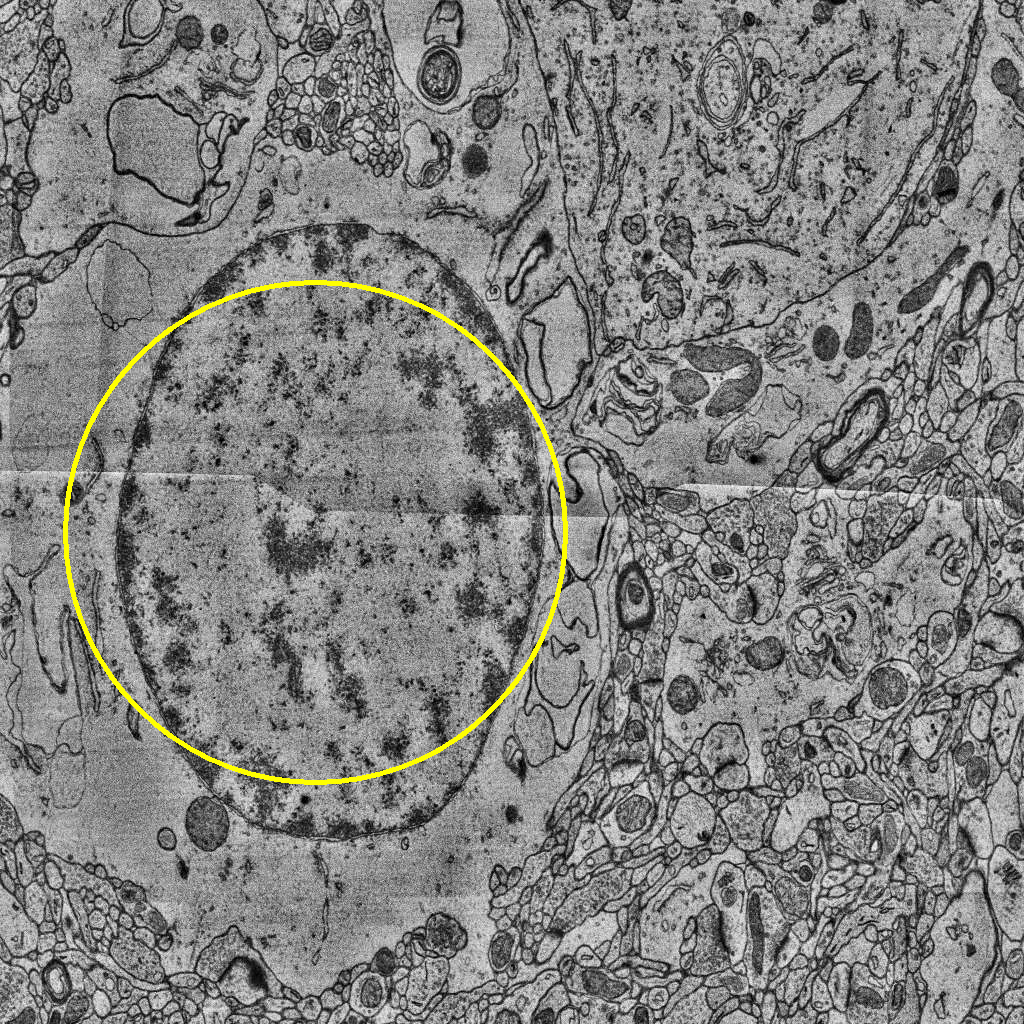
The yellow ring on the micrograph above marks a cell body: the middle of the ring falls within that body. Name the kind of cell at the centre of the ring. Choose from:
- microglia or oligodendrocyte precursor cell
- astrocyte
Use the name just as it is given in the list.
astrocyte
